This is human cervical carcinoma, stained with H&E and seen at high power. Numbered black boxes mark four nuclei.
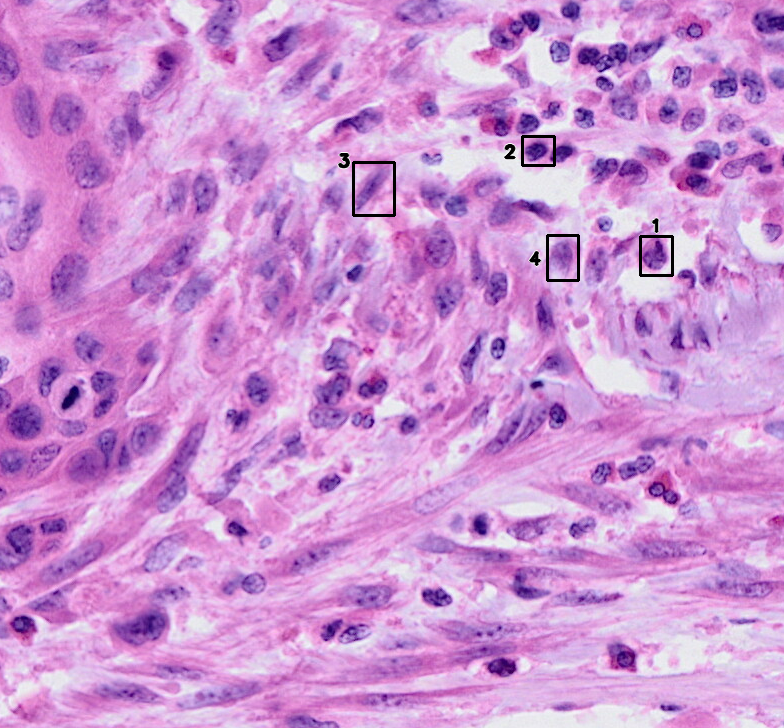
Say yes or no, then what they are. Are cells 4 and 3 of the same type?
Yes, cells 4 and 3 both belong among the fibroblasts.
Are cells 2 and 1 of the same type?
No, sorry, cell 2 is a lymphocyte and cell 1 is a macrophage or monocyte.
